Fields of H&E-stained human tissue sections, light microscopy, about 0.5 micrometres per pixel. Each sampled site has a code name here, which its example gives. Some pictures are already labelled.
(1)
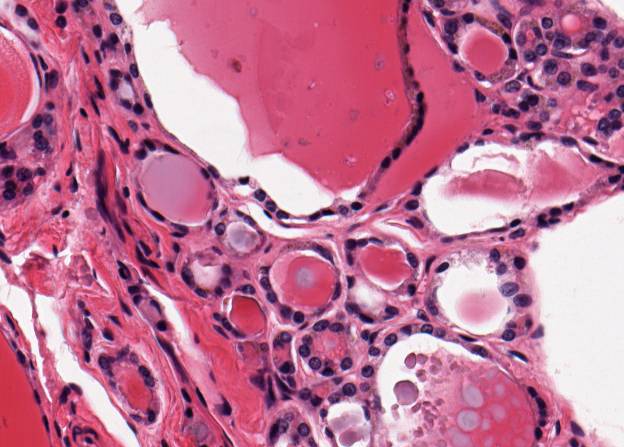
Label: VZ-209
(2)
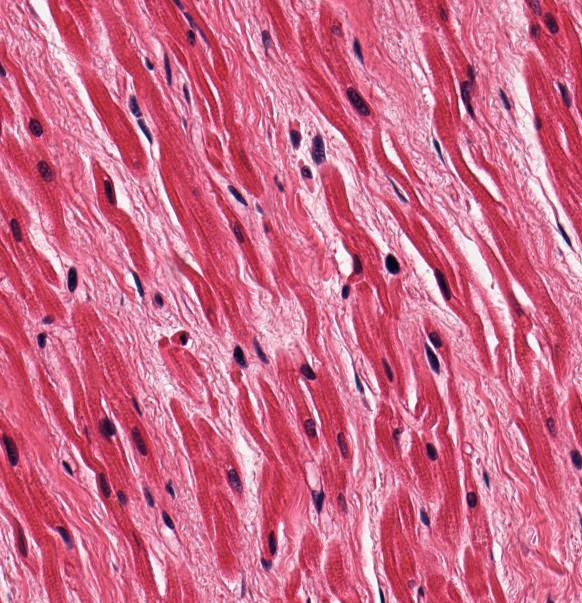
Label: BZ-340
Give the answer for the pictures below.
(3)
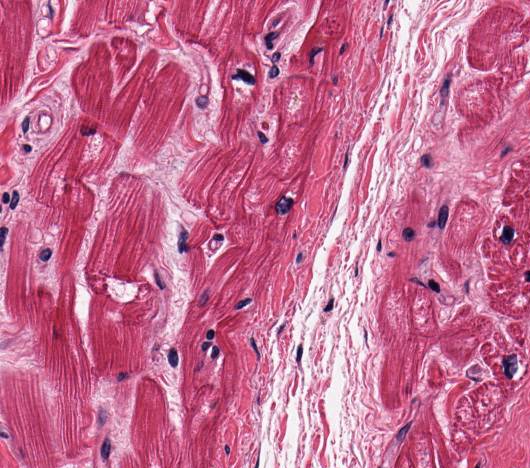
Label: BZ-340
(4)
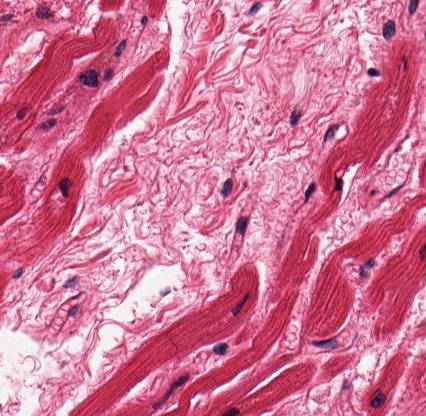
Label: BZ-340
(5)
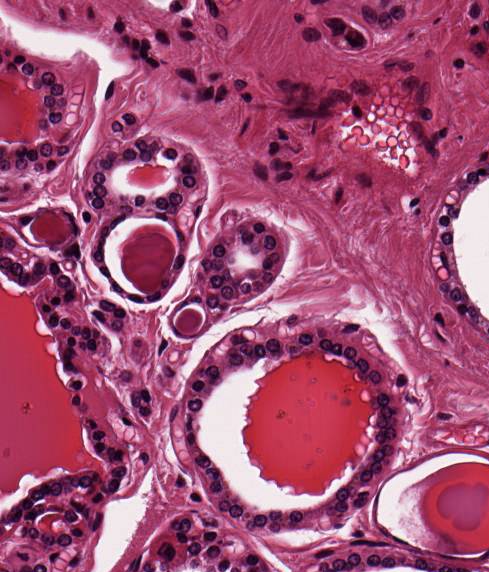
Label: VZ-209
